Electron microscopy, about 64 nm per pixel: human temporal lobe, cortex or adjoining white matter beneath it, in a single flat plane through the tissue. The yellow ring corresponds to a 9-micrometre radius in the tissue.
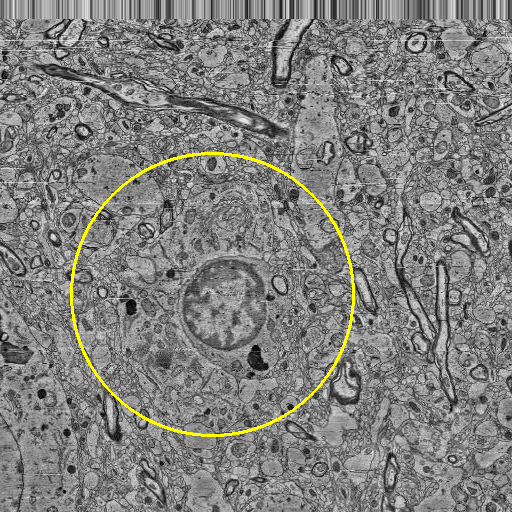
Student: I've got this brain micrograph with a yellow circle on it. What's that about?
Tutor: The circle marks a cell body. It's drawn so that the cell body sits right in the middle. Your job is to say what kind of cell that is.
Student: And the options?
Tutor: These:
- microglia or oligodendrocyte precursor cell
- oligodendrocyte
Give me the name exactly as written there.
oligodendrocyte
